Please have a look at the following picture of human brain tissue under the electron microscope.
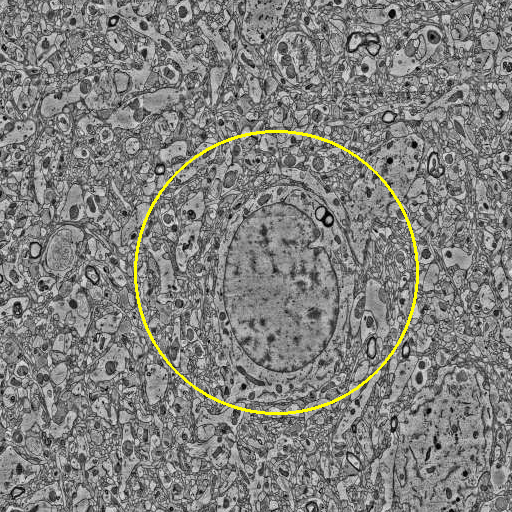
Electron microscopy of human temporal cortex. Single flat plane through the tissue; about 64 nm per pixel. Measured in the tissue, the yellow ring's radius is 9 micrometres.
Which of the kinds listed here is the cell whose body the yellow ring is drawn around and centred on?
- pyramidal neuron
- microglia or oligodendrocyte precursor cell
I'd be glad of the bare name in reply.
pyramidal neuron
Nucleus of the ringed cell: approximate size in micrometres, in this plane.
In this plane, the nucleus of the cell at the centre of the ring measures about 11 by 8 micrometres.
